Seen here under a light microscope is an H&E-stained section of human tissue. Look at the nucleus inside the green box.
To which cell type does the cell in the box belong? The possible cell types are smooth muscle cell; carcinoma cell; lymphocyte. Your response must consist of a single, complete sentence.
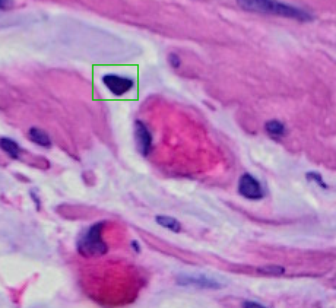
In the stained section, the cell in the box is a lymphocyte.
